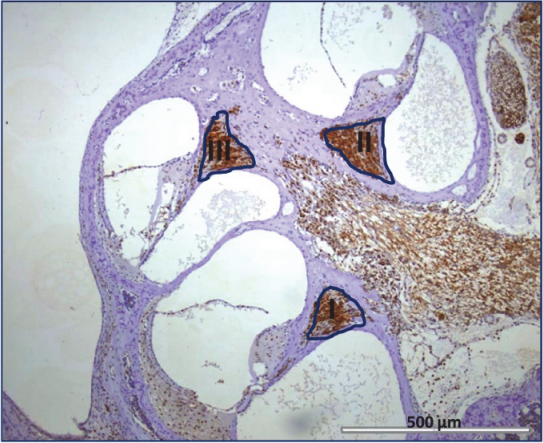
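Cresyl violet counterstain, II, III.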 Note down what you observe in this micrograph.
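A section through the cochlea shows purple-stained bony walls surrounding several large, mostly empty chambers of the cochlear turns. Next to these chambers, three small triangular regions of Rosenthal’s canal are outlined, each packed with brown-stained spiral ganglion neurons. A broad band of brown-stained tissue runs through the center of the section, and scattered purple-stained nuclei lie in the surrounding tissue.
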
